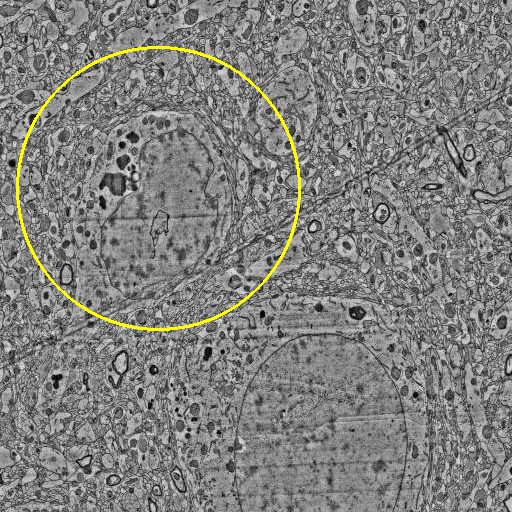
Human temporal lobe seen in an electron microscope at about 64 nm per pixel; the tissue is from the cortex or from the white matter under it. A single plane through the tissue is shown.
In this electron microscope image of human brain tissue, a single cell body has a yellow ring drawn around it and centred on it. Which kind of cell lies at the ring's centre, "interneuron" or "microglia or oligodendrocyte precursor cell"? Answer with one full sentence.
It is an interneuron whose cell body lies at the centre of the yellow ring here.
